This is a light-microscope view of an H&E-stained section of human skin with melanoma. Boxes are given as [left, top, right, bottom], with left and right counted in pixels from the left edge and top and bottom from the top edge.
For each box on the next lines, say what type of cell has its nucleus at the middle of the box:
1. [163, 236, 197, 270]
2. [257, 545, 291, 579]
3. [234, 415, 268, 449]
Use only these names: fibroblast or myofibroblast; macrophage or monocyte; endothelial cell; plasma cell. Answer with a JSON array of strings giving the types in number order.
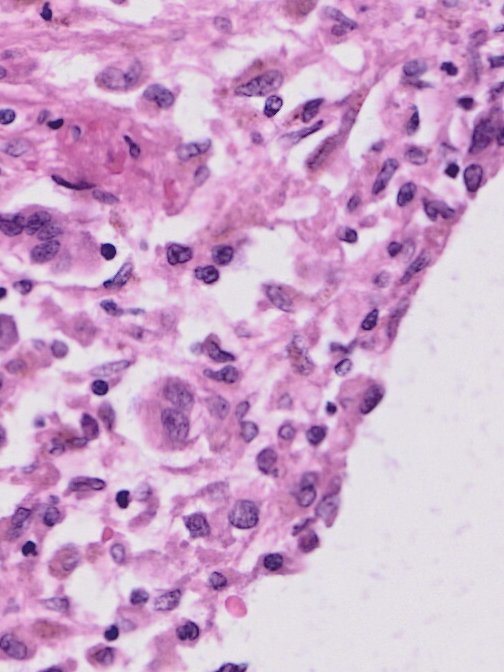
["macrophage or monocyte", "plasma cell", "macrophage or monocyte"]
